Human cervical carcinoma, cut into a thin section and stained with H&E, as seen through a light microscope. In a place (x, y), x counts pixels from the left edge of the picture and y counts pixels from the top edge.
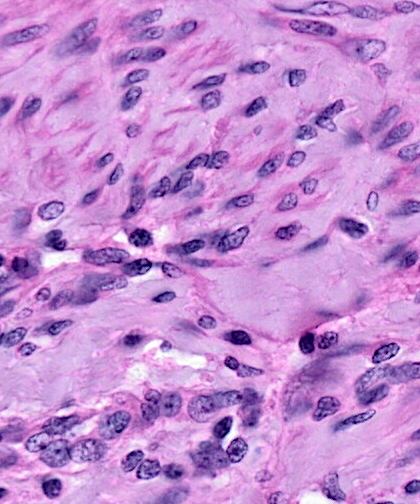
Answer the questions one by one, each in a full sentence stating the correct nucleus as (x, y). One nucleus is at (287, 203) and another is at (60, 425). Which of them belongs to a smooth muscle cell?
Of the two options, the nucleus at (287, 203) is the one that belongs to a smooth muscle cell.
